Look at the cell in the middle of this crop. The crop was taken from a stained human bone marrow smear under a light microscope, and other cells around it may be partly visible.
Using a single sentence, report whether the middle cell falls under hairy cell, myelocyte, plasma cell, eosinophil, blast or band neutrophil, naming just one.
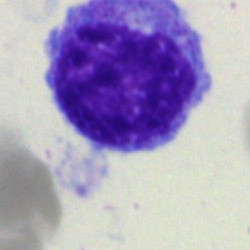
The single cell at the center of the crop is a blast.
